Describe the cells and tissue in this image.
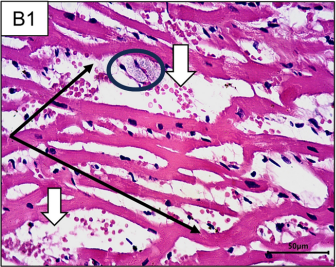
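This is heart muscle whose normal orderly pattern is broken up: the cardiac fibers are thinned, deeply pink and irregular, separated by wide pale spaces. These spaces are filled with many small round red blood cells lying outside vessels, a bleeding between the fibers.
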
